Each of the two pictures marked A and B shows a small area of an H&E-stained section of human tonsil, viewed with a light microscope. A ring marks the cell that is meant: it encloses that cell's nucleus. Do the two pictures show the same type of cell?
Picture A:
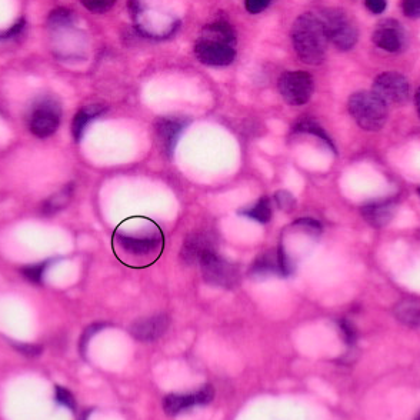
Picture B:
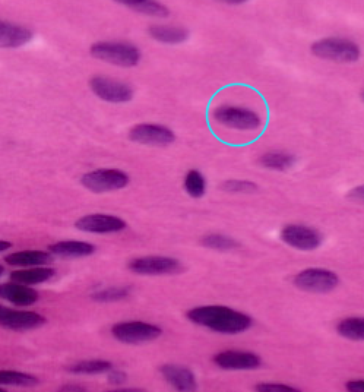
yes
